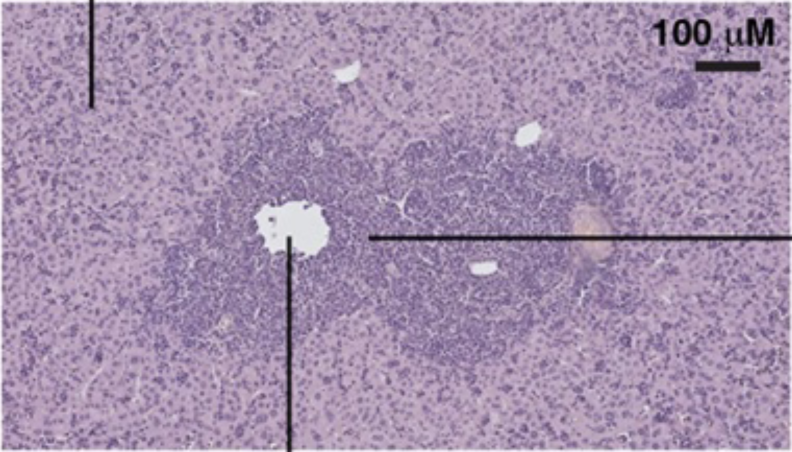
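This is liver, and most of the field is made of hepatocytes: large cells with pink cytoplasm and round purple nuclei, lined up in cords with narrow spaces between them. In the middle, something does not belong. Large patches of small, tightly crowded cells with dark purple round nuclei and hardly any cytoplasm lie there.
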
